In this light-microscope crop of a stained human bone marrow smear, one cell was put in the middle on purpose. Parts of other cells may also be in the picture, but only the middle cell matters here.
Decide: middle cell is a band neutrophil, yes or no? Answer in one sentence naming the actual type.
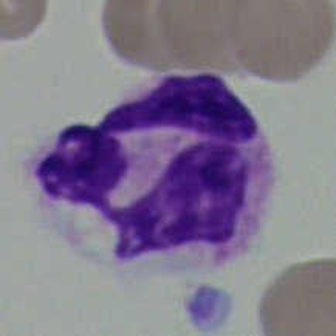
No, what lies at the heart of the crop is a segmented neutrophil, not a band neutrophil.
